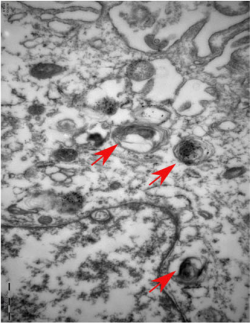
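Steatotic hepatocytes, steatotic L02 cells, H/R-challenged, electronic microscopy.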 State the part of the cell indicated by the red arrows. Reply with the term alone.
Autophagosomes.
